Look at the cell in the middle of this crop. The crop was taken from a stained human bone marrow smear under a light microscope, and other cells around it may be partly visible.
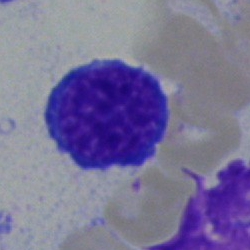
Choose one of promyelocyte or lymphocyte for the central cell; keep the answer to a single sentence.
For this crop, the central cell is a lymphocyte.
